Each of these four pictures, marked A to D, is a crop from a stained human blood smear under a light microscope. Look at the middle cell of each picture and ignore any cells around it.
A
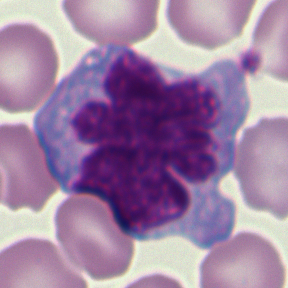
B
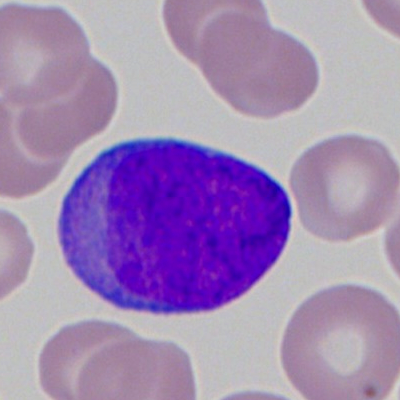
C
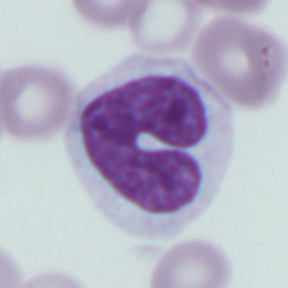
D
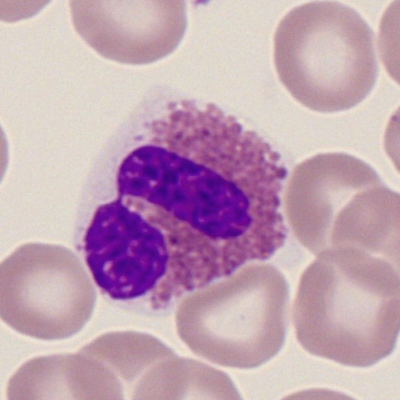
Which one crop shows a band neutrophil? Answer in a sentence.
On review of the set, crop C is the one showing a band neutrophil.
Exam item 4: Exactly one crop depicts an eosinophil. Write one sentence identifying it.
Crop D shows an eosinophil, and no other crop does.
